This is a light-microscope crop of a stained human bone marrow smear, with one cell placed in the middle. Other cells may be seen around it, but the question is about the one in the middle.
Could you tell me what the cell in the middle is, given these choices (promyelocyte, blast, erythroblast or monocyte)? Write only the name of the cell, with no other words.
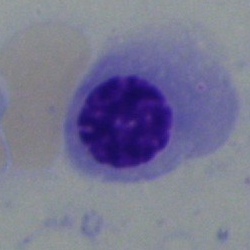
erythroblast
